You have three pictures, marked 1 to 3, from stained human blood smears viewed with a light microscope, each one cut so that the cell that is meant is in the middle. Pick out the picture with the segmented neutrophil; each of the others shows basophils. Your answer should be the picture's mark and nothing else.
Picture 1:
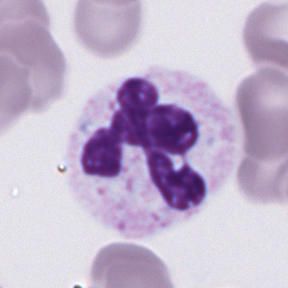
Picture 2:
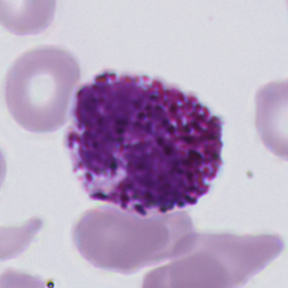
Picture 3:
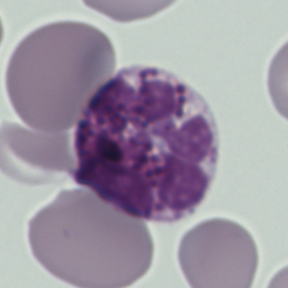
1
